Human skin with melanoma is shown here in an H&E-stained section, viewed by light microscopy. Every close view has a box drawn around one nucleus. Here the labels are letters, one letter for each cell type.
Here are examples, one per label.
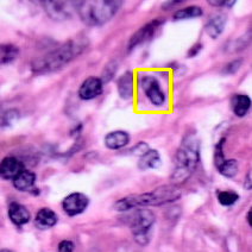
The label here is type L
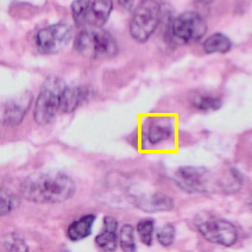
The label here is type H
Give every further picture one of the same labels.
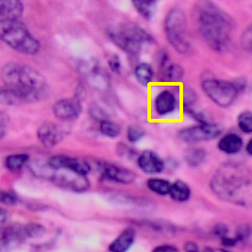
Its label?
type L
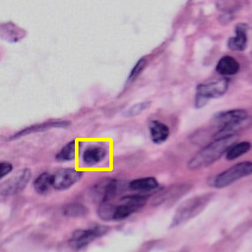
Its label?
type L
